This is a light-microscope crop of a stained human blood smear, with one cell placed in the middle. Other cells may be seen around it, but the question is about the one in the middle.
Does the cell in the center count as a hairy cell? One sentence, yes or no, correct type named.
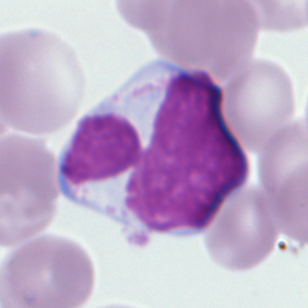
No, the cell in the middle is a large granular lymphocyte, not a hairy cell.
